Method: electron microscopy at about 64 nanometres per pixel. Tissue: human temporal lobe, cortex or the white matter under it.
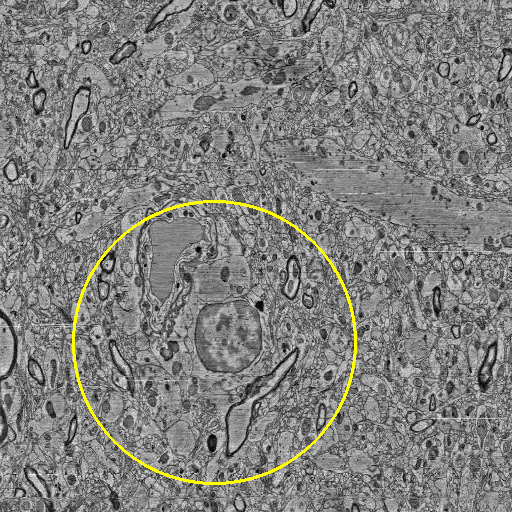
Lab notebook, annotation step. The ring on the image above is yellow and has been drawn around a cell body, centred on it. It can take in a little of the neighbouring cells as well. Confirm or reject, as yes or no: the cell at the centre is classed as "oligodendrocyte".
No, the cell is of another class.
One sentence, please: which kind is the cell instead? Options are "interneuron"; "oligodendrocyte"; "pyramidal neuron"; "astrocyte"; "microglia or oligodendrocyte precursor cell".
The ring's central cell is a microglial cell or oligodendrocyte precursor cell instead.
